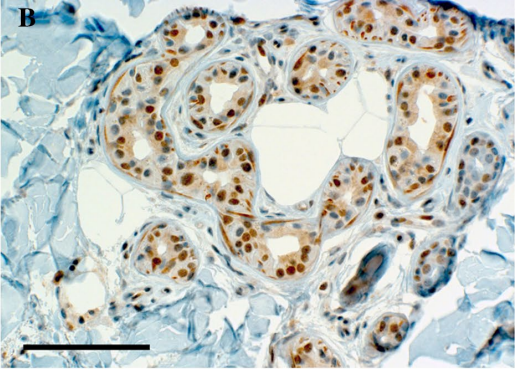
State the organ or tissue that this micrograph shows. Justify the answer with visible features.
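Eccrine glands. A cluster of small round tubules cut in cross-section. Each tubule is lined by cuboidal cells around a small central lumen. The tubules lie in pale fibrous dermal stroma.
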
